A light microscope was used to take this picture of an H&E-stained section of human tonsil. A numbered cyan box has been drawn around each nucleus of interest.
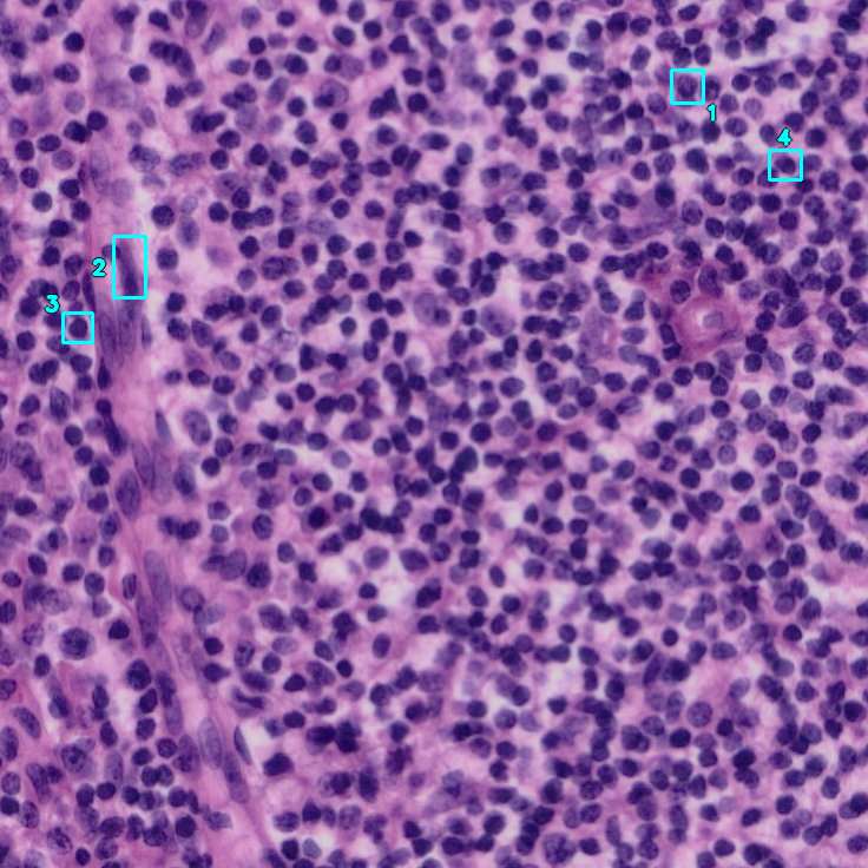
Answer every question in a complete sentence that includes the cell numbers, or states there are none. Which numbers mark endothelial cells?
Only number 2 of the marked cells is an endothelial cell.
